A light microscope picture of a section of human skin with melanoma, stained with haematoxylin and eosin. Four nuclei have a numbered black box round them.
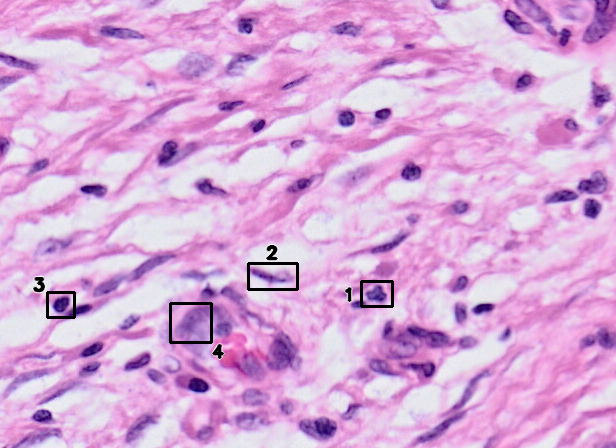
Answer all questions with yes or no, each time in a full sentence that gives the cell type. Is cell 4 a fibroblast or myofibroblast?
No, number 4 points to an endothelial cell and not to a fibroblast or myofibroblast.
